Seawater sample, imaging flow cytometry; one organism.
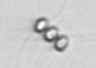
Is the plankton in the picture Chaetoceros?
Yes, it is Chaetoceros.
